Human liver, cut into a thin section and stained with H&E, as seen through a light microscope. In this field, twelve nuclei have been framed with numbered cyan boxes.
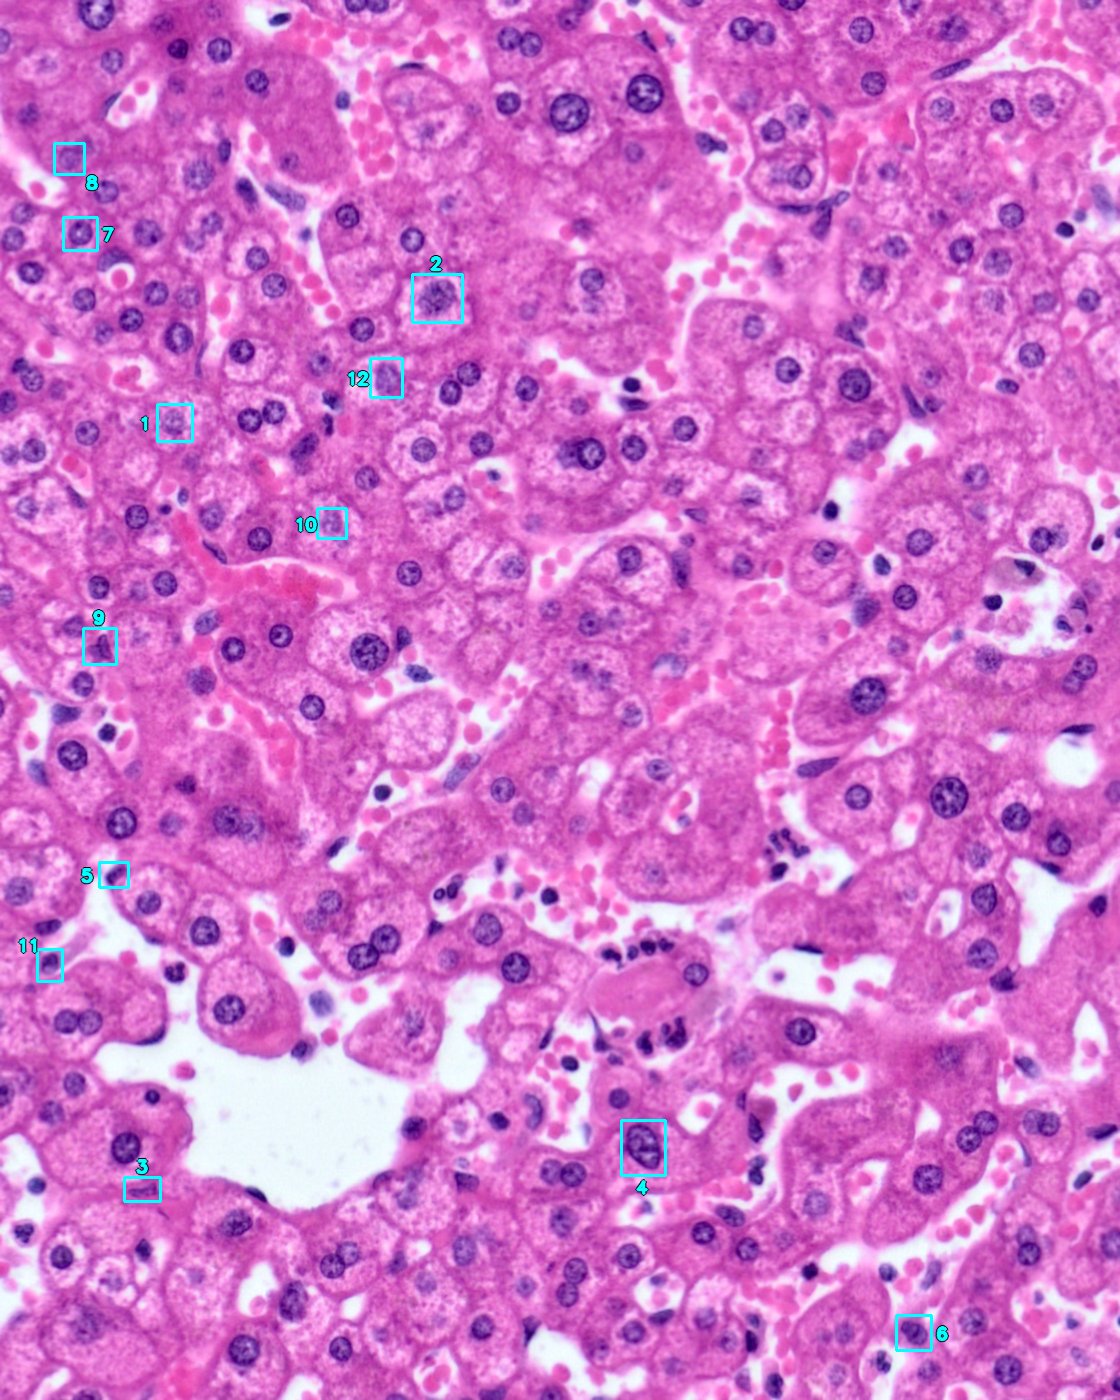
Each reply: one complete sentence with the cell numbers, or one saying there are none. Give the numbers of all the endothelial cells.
The cells referred to by the numbers 5 and 9 are endothelial cells.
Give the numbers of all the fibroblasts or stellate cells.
Cell 3 is a fibroblast or stellate cell, while every other numbered cell is not.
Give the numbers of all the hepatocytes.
The cells picked out by numbers 1, 2, 4, 7, 8, 10 and 12 are hepatocytes.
